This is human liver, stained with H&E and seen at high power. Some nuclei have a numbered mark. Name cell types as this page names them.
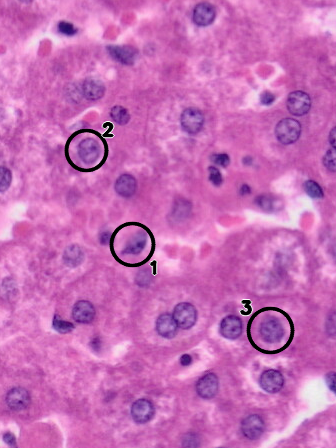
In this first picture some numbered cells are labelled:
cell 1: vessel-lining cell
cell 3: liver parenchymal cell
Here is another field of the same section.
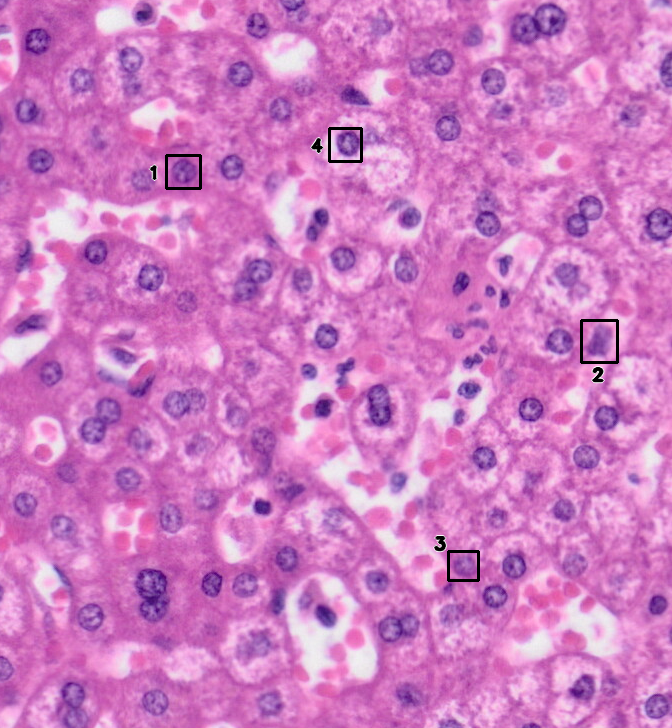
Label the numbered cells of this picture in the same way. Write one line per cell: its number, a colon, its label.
1: liver parenchymal cell
2: vessel-lining cell
3: liver parenchymal cell
4: liver parenchymal cell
